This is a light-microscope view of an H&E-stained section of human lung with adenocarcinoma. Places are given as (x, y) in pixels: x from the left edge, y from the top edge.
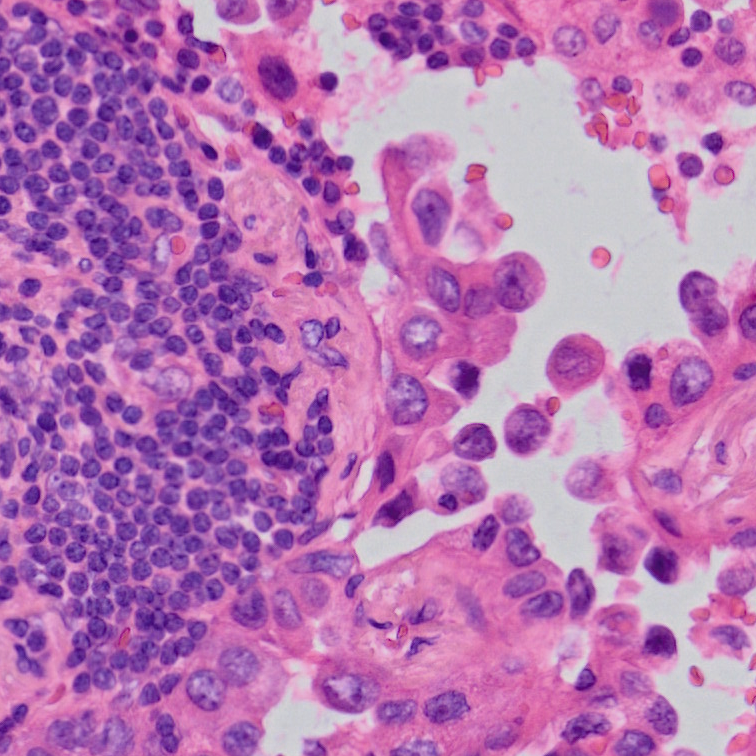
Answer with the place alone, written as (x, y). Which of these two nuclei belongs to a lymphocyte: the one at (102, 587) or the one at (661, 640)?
(102, 587)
